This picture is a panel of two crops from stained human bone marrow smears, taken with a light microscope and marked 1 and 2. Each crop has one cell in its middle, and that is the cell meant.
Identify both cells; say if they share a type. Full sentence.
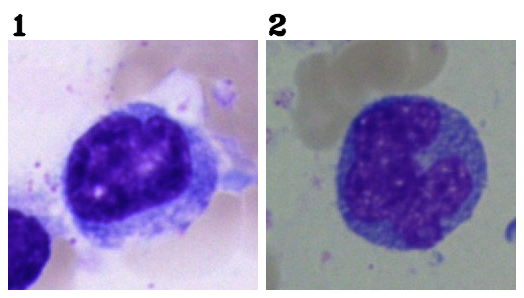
Yes, both crops show monocytes, one in each.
